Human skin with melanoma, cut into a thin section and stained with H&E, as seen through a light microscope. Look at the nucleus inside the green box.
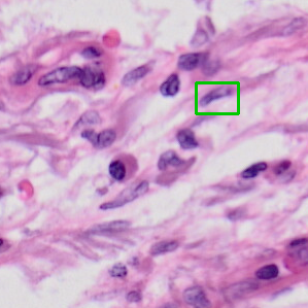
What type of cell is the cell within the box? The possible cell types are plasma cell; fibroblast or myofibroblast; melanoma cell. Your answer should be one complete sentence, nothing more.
For cell typing purposes, the cell within the box is a fibroblast or myofibroblast.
